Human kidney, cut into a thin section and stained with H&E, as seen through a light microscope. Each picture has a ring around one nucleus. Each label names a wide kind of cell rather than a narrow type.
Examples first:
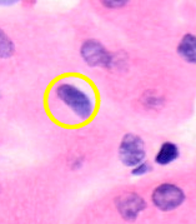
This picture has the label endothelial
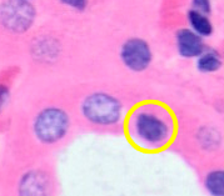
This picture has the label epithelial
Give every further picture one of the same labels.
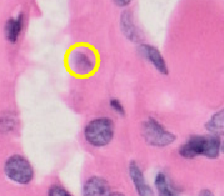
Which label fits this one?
epithelial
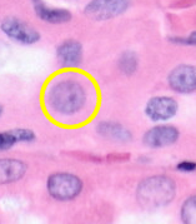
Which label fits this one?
epithelial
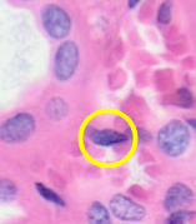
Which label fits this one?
endothelial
